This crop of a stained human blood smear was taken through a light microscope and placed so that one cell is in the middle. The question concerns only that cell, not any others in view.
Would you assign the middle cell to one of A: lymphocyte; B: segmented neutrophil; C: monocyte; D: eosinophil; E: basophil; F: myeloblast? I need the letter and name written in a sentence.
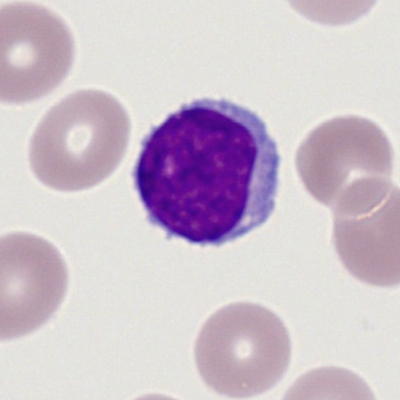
The middle cell of the crop is a lymphocyte; accordingly, option A is correct.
